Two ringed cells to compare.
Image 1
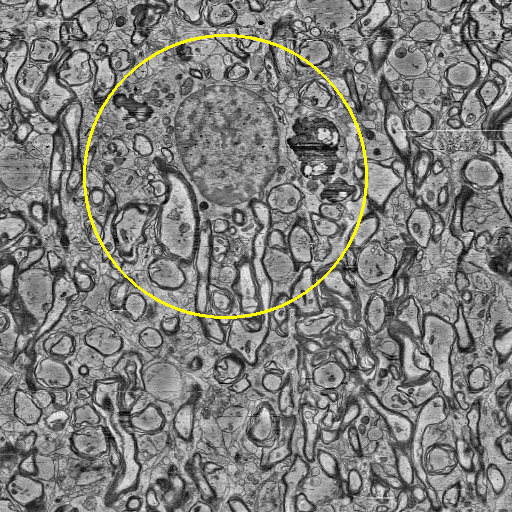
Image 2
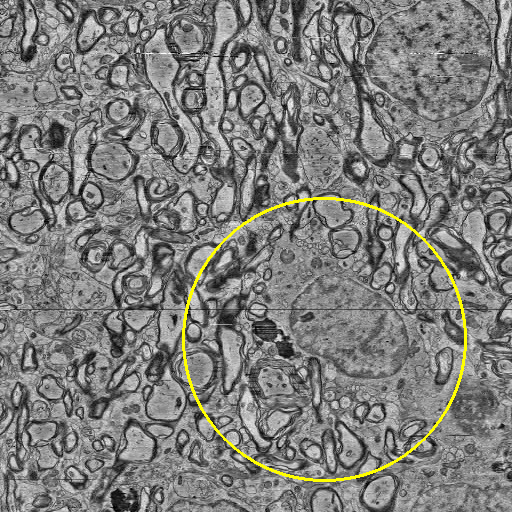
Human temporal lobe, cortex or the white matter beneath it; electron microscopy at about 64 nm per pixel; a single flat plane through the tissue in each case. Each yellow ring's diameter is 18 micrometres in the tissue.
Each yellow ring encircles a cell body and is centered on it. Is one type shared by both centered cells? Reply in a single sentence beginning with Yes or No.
Yes, a single type is shared by the two cells at the centers of the rings.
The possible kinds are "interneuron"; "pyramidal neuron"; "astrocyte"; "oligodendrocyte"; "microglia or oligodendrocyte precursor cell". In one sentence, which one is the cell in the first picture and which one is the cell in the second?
Each of the two rings surrounds an oligodendrocyte.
